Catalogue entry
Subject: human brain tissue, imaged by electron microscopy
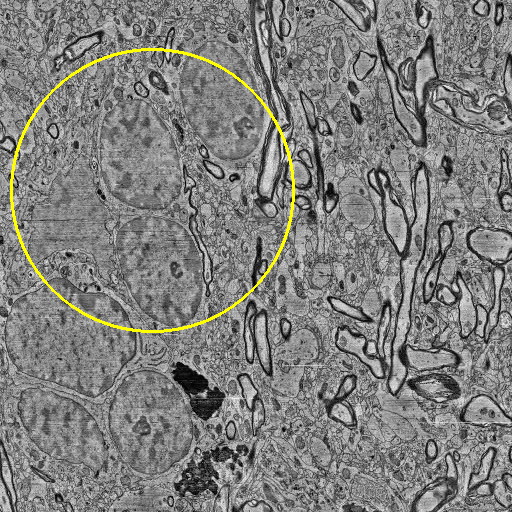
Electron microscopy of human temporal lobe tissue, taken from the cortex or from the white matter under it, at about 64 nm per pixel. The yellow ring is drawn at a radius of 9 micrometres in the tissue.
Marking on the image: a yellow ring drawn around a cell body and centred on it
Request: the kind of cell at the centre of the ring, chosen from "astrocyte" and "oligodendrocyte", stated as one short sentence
The ring has an oligodendrocyte at its centre.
